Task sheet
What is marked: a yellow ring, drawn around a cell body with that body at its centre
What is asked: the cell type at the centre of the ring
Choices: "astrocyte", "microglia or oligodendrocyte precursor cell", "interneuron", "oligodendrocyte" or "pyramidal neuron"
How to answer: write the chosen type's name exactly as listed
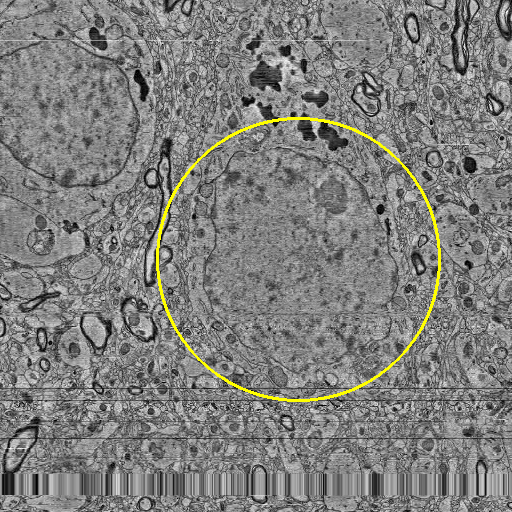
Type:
interneuron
